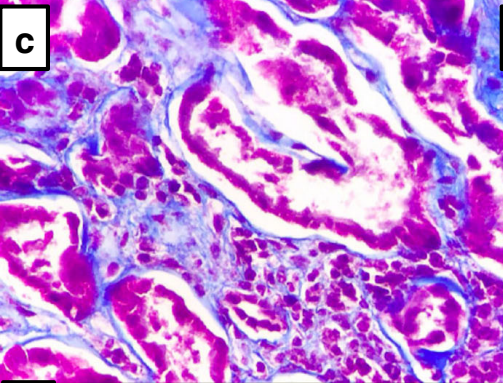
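Renal tubules with pink-purple epithelium set in blue-stained interstitium. Tubular lumina are dilated and contain pale debris, with epithelium thinned in places. The interstitium between tubules holds clusters of small round inflammatory cells.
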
